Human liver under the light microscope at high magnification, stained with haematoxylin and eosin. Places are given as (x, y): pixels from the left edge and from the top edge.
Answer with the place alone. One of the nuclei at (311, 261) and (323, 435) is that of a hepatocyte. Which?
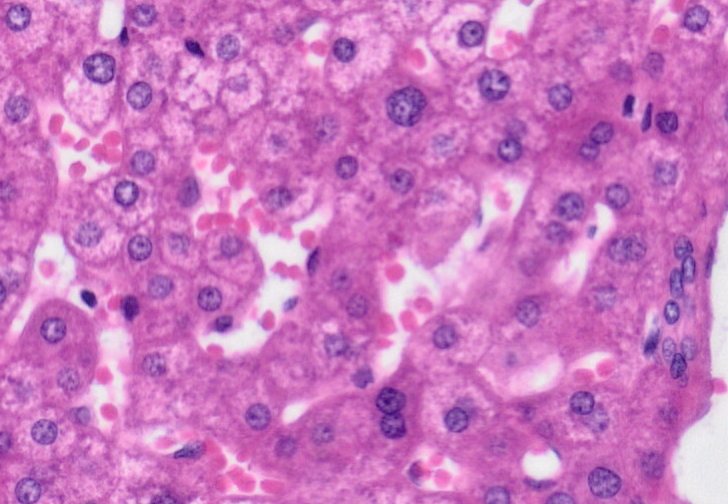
(323, 435)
